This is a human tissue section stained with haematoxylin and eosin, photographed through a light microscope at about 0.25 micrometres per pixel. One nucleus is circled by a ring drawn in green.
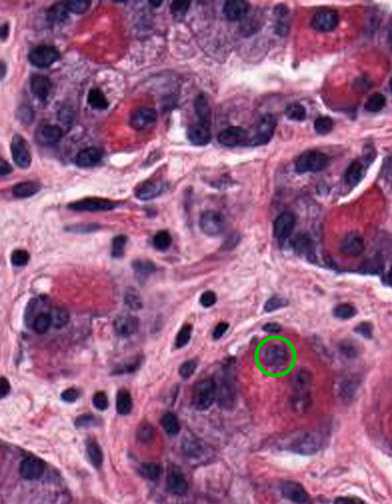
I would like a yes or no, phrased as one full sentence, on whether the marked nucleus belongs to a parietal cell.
Yes, to a parietal cell belongs the marked nucleus.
